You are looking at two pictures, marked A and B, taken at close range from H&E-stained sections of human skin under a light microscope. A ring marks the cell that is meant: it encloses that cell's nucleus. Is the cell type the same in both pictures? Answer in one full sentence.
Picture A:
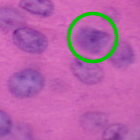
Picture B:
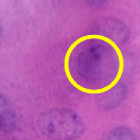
Yes; the cells in both pictures are suprabasal keratinocytes.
